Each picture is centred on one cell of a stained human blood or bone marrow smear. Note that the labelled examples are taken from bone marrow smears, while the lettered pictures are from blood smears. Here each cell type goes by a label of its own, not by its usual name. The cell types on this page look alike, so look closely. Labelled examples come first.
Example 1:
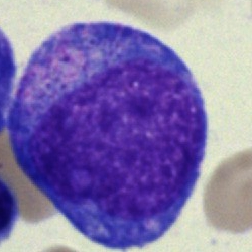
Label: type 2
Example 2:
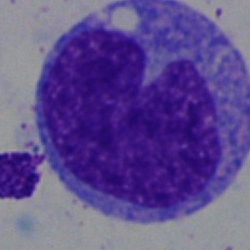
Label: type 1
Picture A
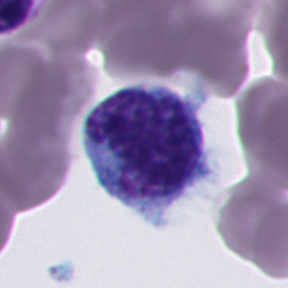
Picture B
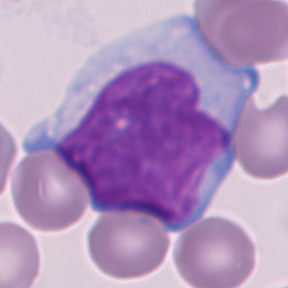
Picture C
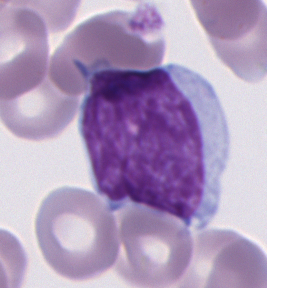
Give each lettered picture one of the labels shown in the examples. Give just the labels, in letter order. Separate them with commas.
type 1, type 2, type 2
